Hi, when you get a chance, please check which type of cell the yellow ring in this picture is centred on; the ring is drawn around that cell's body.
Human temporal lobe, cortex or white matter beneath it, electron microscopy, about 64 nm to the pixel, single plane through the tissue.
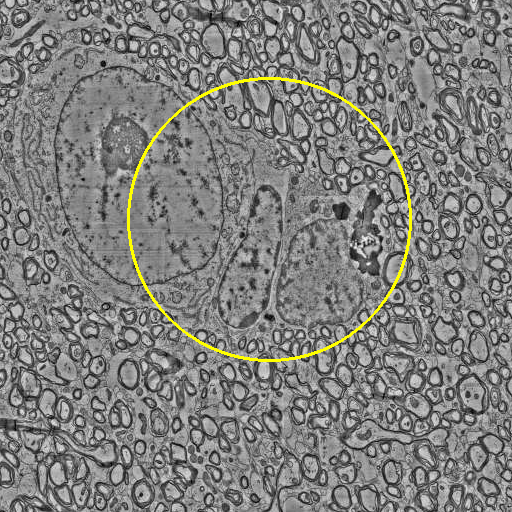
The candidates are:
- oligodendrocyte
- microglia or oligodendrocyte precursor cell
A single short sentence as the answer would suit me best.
The ring is drawn around the body of a microglial cell or oligodendrocyte precursor cell.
